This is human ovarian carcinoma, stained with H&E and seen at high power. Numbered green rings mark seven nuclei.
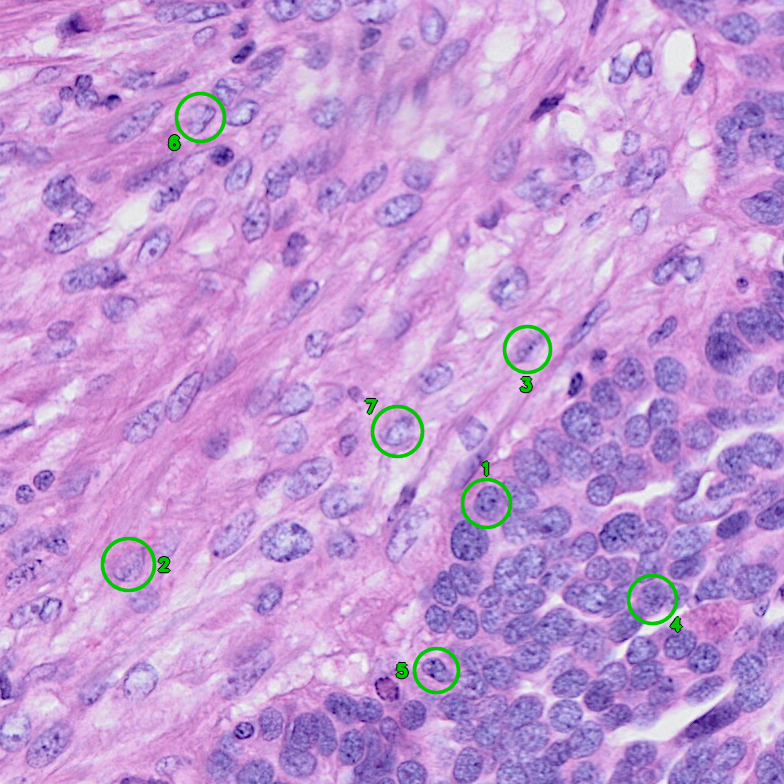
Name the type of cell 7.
fibroblast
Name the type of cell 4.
carcinoma cell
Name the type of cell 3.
fibroblast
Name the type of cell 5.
macrophage or monocyte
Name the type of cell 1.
carcinoma cell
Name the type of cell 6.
fibroblast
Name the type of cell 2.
fibroblast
